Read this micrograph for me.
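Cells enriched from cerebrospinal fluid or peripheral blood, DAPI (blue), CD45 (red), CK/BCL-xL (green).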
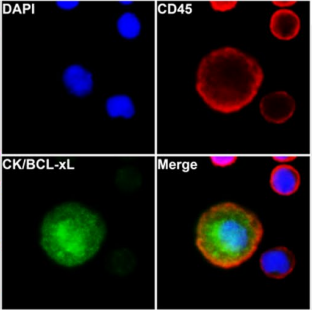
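The large central cell has a round blue nucleus and a broad cytoplasm filled with granular green signal, and its outline carries a red rim, so that in the merged view it appears orange-green with a blue centre. Around it lie several smaller round cells with compact blue nuclei and thin, sharp red rings but no green signal. The hybrid cell is roughly two to three times the diameter of these neighbours, with a slightly irregular edge.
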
